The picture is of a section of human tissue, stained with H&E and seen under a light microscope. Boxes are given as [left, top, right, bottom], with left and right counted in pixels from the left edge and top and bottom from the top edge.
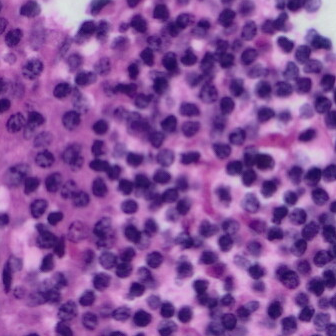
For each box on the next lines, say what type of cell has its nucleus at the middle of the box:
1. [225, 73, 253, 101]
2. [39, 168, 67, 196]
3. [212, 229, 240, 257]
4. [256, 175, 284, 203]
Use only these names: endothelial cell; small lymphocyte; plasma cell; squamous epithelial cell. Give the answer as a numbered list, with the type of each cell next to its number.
1. small lymphocyte
2. plasma cell
3. small lymphocyte
4. small lymphocyte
